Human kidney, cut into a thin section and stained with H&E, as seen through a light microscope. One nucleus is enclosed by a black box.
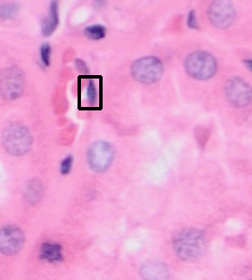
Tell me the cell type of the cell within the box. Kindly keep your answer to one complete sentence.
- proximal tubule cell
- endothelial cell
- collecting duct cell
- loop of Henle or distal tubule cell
Right, so the cell within the box is an endothelial cell, to answer that.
